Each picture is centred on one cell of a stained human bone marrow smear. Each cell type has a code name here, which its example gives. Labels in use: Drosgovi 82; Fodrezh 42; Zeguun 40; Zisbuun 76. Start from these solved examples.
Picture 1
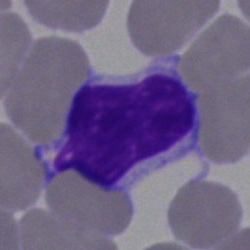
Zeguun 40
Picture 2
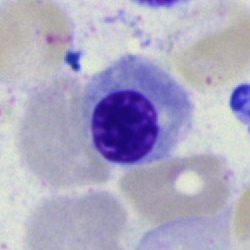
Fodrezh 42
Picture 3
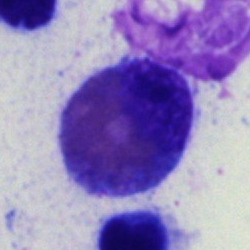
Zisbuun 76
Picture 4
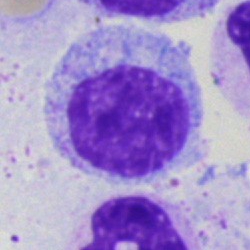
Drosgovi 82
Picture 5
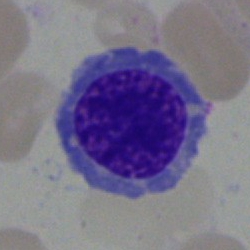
Fodrezh 42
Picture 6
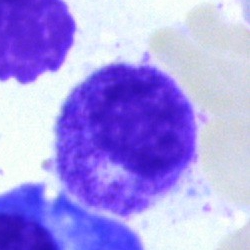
Drosgovi 82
